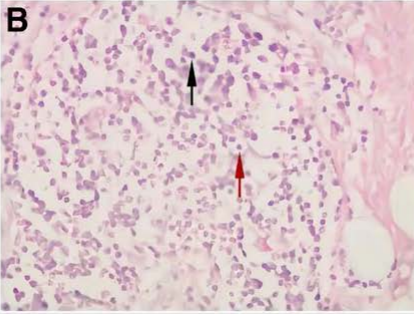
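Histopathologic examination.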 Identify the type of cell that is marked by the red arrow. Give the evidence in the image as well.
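The marked cell is small and round. It has a round, dark purple nucleus with little cytoplasm around it.
Answer: lymphocyte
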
